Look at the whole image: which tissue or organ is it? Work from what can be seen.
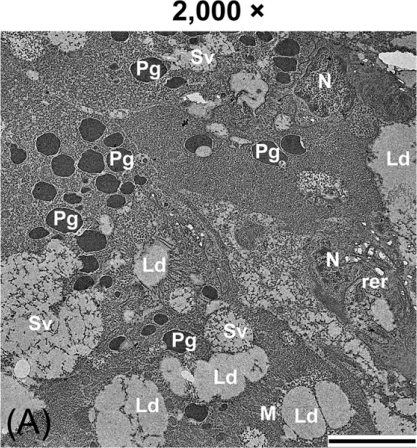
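Cytoplasm is packed with large pale round droplets. Many dense dark round granules are scattered through the cells. Pale vesicles with flocculent content lie among the droplets. So: fat body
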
